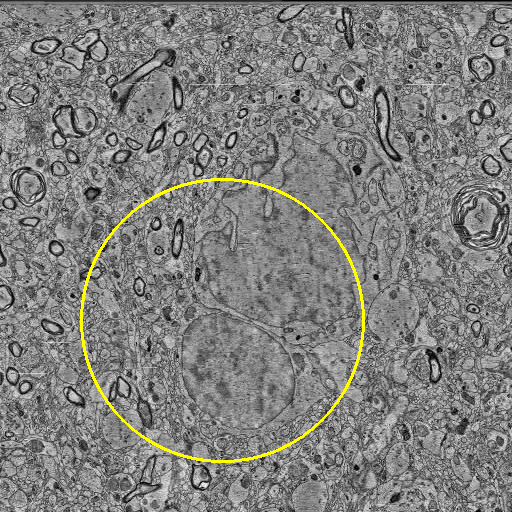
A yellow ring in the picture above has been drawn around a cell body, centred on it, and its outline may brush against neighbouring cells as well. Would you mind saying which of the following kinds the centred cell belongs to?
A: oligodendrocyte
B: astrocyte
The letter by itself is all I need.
A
